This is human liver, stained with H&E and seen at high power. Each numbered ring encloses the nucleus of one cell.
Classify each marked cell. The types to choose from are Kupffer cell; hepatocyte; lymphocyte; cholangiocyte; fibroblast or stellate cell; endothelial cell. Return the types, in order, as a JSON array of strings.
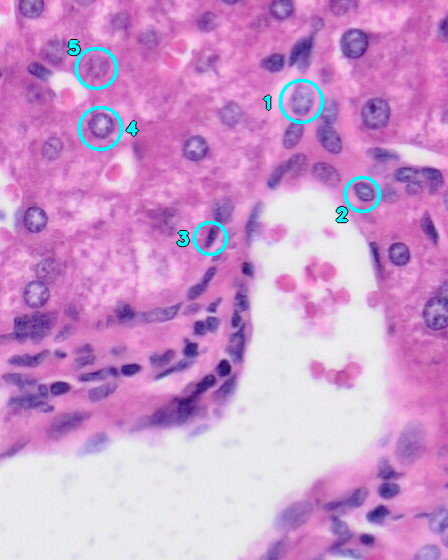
["cholangiocyte", "cholangiocyte", "fibroblast or stellate cell", "hepatocyte", "hepatocyte"]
